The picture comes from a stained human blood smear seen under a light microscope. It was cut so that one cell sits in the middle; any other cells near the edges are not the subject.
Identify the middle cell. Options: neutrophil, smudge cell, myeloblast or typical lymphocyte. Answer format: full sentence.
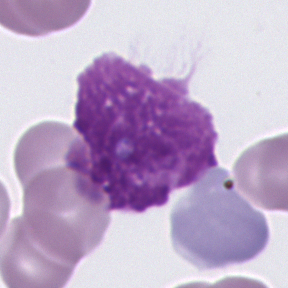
Among the cells in view, the one in the middle is a smudge cell.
